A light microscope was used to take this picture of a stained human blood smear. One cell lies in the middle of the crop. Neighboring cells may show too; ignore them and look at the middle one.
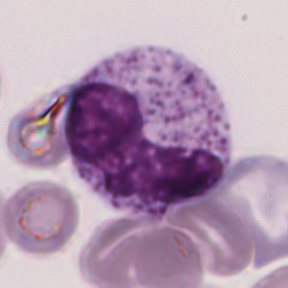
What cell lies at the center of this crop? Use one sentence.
In the crop, the cell of interest at the centre is a band neutrophil.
